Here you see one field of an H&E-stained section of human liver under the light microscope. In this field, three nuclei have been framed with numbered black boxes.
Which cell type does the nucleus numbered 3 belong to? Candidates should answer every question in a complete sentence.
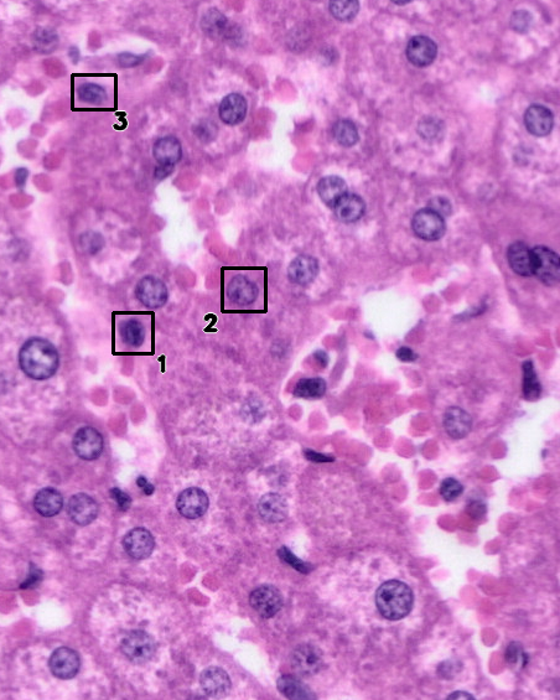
Cell 3, among those numbered, is a fibroblast or stellate cell.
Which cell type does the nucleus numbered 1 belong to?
Here the cell numbered 1 is a fibroblast or stellate cell.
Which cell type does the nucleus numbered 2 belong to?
The cell numbered 2 has been identified as a hepatocyte.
